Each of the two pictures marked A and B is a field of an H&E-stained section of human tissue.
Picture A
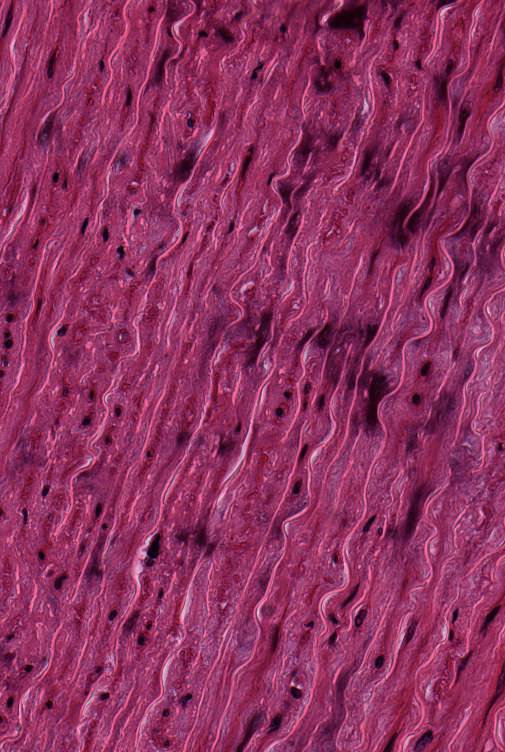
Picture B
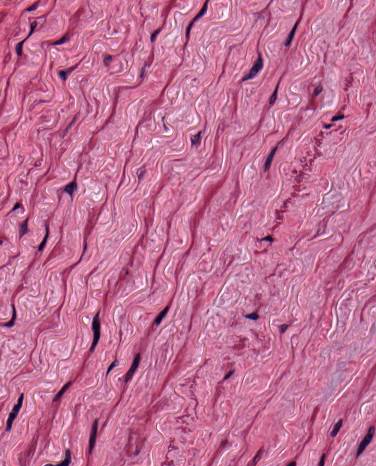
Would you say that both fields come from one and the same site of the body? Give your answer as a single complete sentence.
Yes, the two fields both come from the aorta.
